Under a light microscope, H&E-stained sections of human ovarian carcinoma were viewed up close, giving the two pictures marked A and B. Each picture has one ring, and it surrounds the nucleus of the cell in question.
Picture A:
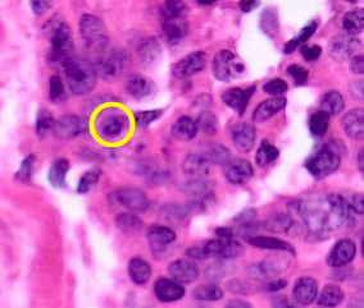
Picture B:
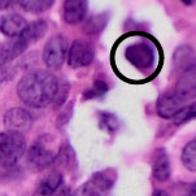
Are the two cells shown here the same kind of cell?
no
